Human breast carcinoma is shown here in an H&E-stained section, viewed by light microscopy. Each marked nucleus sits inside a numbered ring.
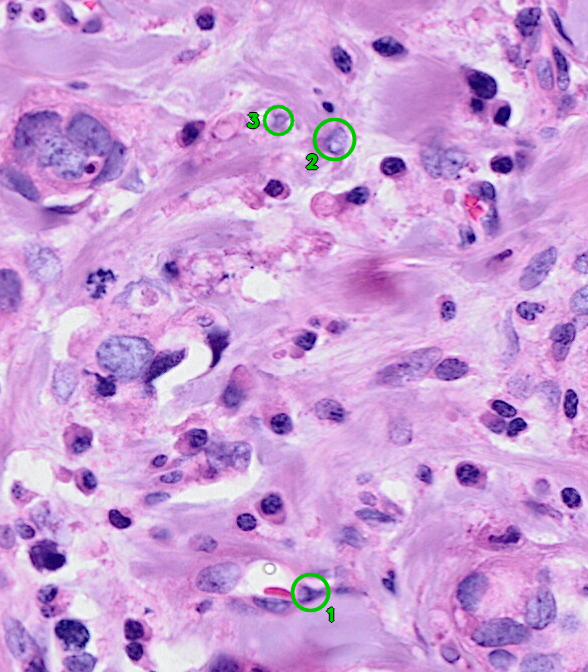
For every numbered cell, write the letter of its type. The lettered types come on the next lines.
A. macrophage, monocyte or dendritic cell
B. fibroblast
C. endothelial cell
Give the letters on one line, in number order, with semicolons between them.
C; B; B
